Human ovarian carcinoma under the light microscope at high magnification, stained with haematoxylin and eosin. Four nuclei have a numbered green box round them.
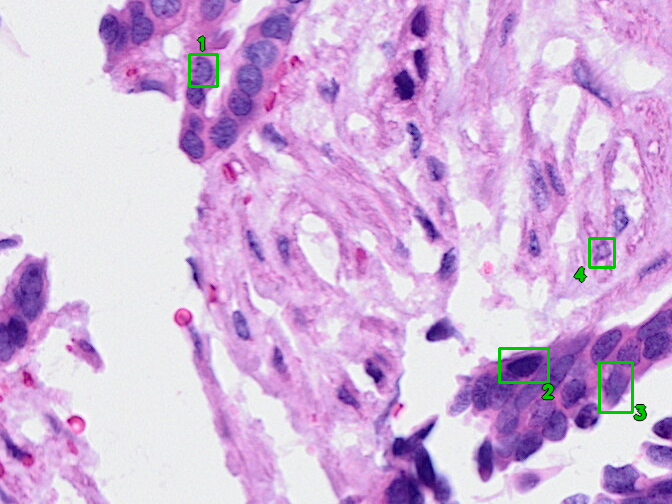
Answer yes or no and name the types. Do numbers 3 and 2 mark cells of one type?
Yes, that is correct, cells 3 and 2 are both carcinoma cells.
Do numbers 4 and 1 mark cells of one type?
No, cell 1 is a carcinoma cell, whereas cell 4 is a fibroblast.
